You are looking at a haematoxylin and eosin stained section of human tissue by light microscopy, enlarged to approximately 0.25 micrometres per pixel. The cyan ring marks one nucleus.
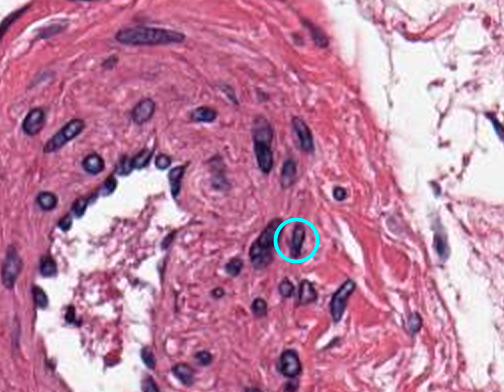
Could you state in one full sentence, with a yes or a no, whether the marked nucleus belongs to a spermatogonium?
No, it is not a spermatogonium to which the marked nucleus belongs.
